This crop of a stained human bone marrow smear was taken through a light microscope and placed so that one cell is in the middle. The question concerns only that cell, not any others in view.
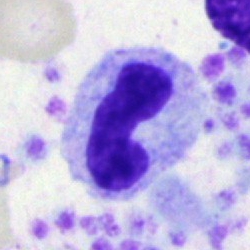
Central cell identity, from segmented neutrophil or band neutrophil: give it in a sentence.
Occupying the centre of the crop is a band neutrophil.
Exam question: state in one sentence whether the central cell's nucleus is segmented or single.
One compact mass makes up the whole nucleus, round, oval or kidney-shaped.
